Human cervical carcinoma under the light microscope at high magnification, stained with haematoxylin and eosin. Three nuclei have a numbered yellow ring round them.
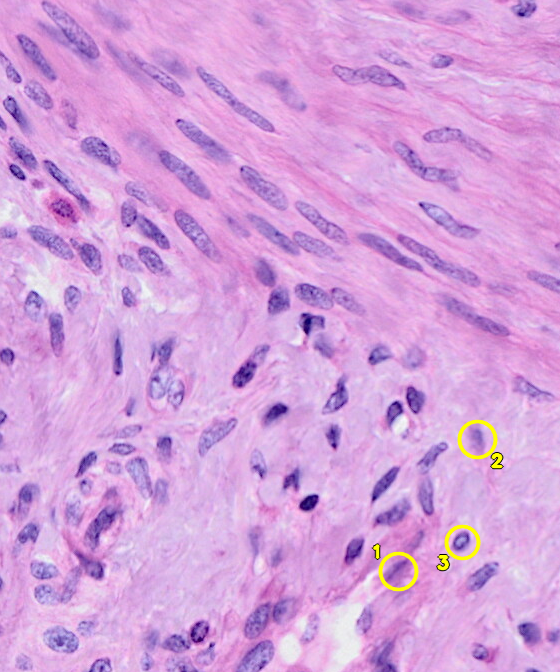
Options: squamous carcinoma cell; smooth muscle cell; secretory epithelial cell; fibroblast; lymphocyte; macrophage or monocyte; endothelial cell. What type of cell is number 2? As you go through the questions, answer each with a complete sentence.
The cell whose nucleus carries the number 2 is a smooth muscle cell.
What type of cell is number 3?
The cell that bears the number 3 is a smooth muscle cell.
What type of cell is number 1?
Here, the cell given the number 1 is an endothelial cell.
